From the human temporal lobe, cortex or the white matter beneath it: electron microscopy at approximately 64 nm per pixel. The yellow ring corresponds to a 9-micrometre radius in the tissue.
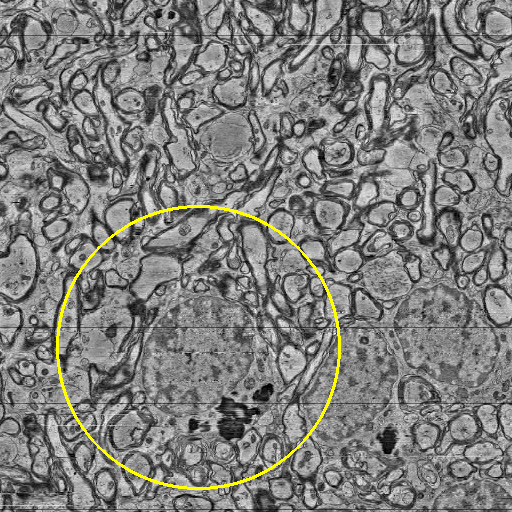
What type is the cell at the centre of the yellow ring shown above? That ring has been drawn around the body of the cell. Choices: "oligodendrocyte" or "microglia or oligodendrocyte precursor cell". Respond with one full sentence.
My answer is that an oligodendrocyte lies at the centre of the yellow ring above.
